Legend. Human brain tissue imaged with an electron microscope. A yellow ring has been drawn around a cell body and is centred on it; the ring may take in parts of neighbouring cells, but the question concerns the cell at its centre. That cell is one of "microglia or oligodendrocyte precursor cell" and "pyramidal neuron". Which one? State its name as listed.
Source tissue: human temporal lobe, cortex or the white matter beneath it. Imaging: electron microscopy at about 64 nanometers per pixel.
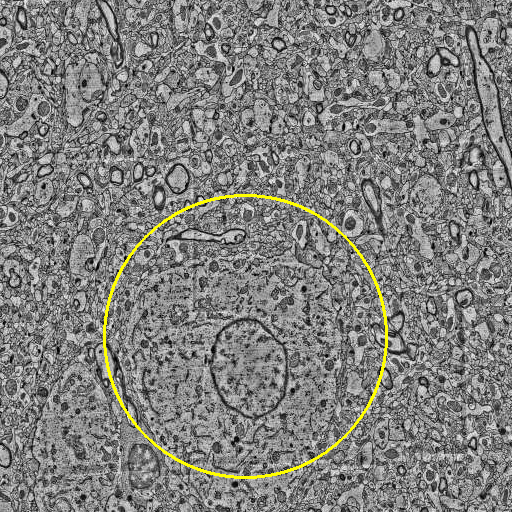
pyramidal neuron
